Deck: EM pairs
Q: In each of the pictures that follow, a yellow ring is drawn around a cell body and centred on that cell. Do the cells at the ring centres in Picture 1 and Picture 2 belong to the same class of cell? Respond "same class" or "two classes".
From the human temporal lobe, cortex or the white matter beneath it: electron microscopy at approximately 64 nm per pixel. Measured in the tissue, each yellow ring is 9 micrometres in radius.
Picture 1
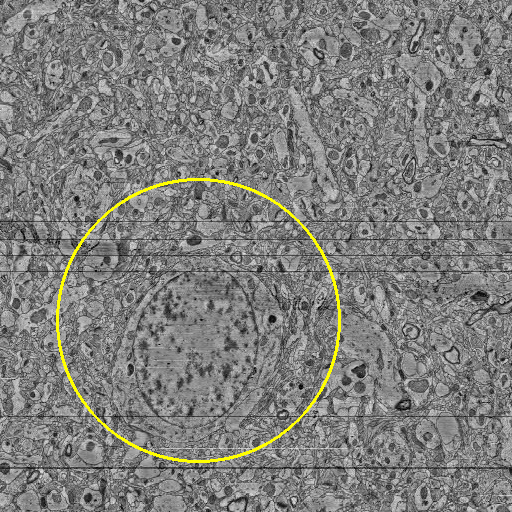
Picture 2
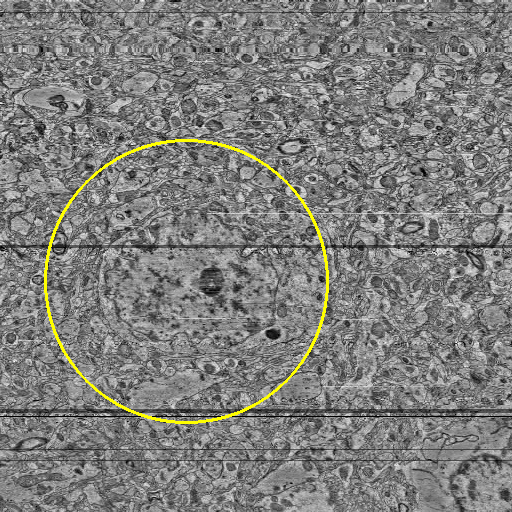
two classes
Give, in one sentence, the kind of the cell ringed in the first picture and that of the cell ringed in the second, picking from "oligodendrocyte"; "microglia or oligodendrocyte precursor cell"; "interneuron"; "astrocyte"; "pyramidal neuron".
For the first picture it is a pyramidal neuron; for the second, an interneuron.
